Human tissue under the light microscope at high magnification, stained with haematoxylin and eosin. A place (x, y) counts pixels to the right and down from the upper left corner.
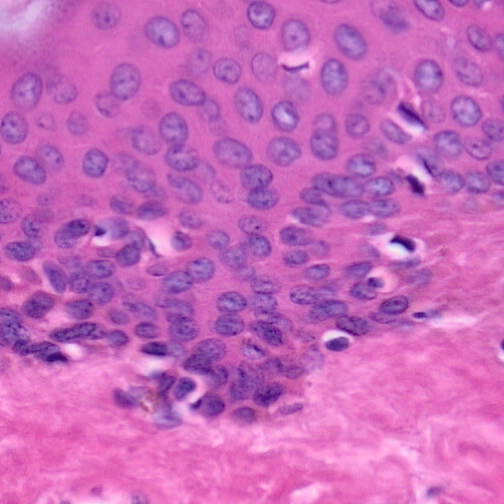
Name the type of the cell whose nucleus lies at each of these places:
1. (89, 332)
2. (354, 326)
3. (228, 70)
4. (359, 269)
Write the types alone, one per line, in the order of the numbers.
basal keratinocyte
basal keratinocyte
suprabasal keratinocyte
basal keratinocyte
